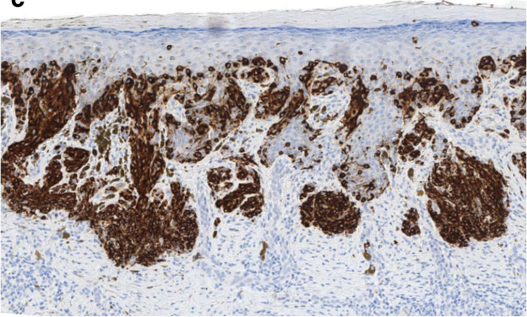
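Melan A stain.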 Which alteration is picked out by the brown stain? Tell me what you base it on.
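Scattered single brown cells lie high in the epidermis, above the basal layer. Most brown cells form nests at and below the base of the epidermis. On this evidence: focal ascension.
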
